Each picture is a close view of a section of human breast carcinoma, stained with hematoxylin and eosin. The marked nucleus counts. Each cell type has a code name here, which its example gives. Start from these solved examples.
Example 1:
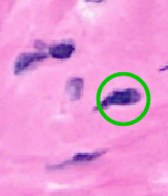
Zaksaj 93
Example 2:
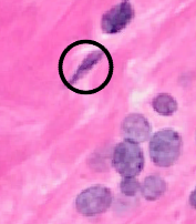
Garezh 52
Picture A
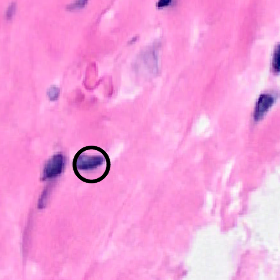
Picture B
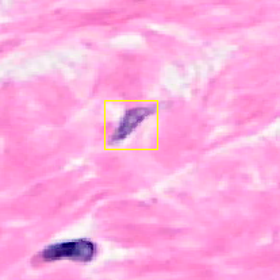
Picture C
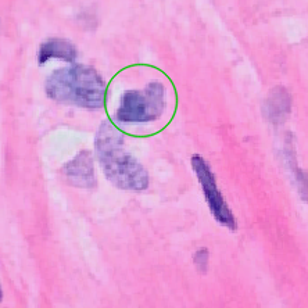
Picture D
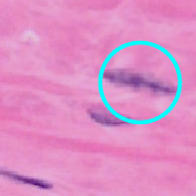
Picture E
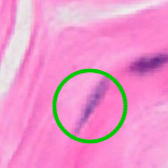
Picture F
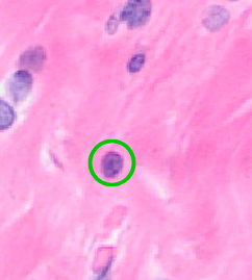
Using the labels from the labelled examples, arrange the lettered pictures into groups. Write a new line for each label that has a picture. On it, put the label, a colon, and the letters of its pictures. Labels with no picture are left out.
Zaksaj 93: A, C, F
Garezh 52: B, D, E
